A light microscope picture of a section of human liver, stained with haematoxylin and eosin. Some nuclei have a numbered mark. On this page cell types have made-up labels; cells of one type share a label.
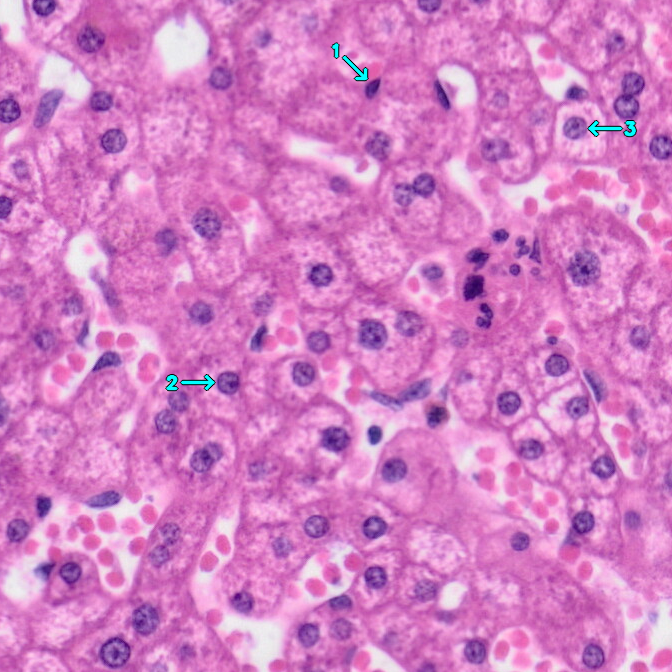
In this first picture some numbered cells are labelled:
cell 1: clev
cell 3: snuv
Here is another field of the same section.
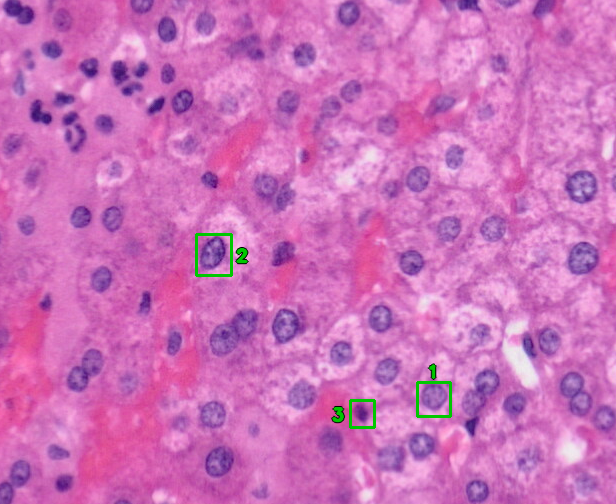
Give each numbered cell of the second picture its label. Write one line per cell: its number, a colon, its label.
1: snuv
2: snuv
3: clev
